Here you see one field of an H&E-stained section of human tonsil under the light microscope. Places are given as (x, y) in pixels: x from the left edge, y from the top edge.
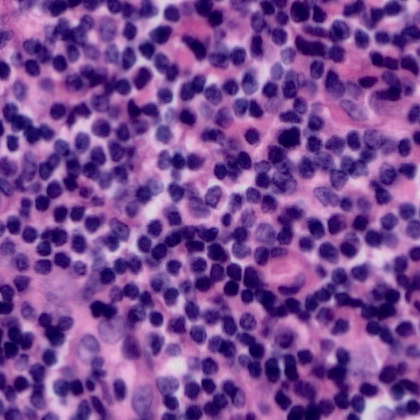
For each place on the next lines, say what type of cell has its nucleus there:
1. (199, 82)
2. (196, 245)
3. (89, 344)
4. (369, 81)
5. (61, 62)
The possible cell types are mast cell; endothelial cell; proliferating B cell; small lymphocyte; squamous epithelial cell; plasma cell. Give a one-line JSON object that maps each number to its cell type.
{"1": "small lymphocyte", "2": "small lymphocyte", "3": "endothelial cell", "4": "endothelial cell", "5": "small lymphocyte"}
